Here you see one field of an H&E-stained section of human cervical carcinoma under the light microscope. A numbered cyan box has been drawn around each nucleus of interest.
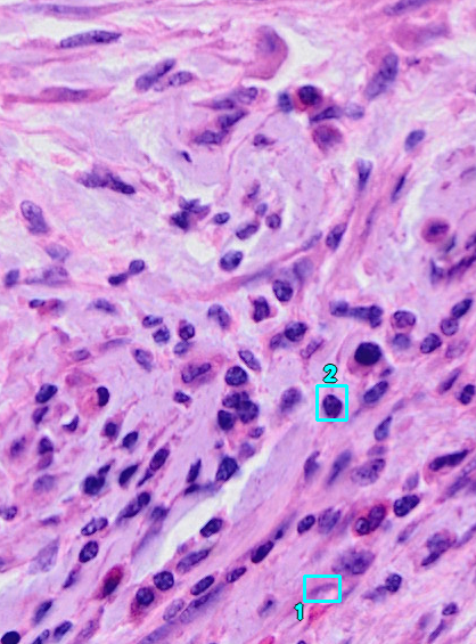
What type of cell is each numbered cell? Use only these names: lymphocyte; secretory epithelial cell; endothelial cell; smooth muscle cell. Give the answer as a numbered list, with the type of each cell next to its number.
1. endothelial cell
2. lymphocyte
